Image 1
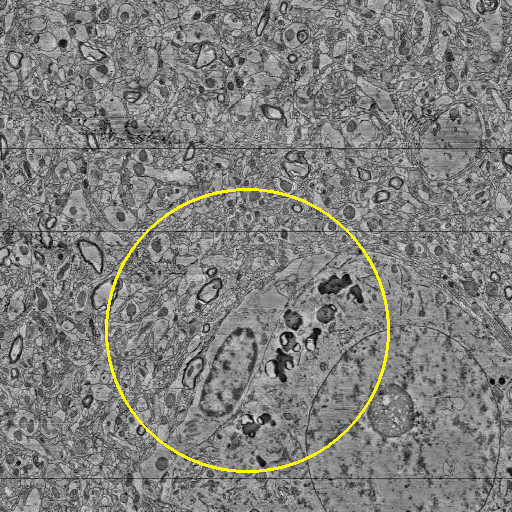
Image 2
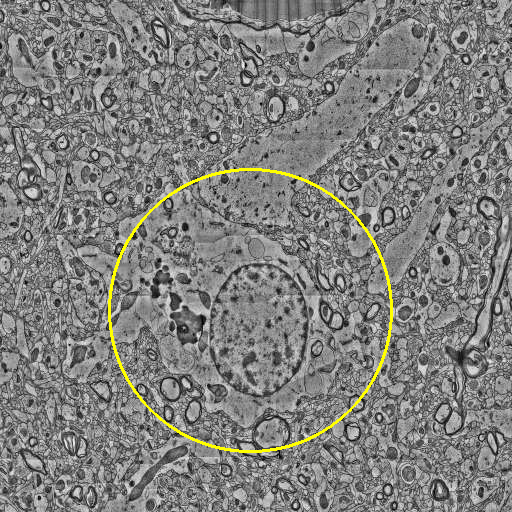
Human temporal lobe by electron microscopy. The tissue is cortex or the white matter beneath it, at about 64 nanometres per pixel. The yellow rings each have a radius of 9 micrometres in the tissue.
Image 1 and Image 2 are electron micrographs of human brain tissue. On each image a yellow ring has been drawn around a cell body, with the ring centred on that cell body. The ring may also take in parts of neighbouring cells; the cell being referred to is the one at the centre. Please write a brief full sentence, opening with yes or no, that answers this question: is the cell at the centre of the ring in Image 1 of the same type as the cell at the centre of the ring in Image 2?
No, the two cells are of two types.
